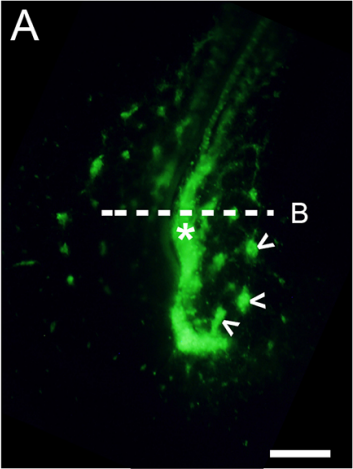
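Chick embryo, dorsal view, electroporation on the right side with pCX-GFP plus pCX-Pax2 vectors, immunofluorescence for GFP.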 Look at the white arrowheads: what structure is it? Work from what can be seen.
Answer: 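The arrowheads point to small, compact, bright green spots lying beside the main labelled band. These spots are separate from the continuous green strip along the body axis.
Cellular aggregates.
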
